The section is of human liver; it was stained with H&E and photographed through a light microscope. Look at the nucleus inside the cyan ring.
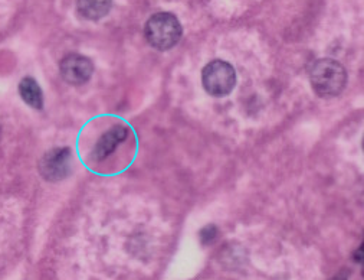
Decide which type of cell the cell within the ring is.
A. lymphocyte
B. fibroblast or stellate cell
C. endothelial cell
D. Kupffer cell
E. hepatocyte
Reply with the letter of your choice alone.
B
